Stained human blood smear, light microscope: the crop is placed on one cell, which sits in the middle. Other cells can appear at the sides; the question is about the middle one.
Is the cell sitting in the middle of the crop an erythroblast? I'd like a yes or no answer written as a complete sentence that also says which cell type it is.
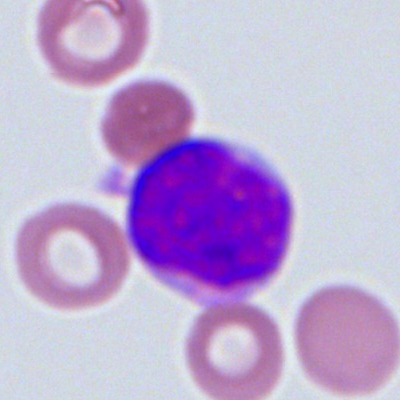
No, it is a myeloblast rather than an erythroblast that the middle of the crop contains.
